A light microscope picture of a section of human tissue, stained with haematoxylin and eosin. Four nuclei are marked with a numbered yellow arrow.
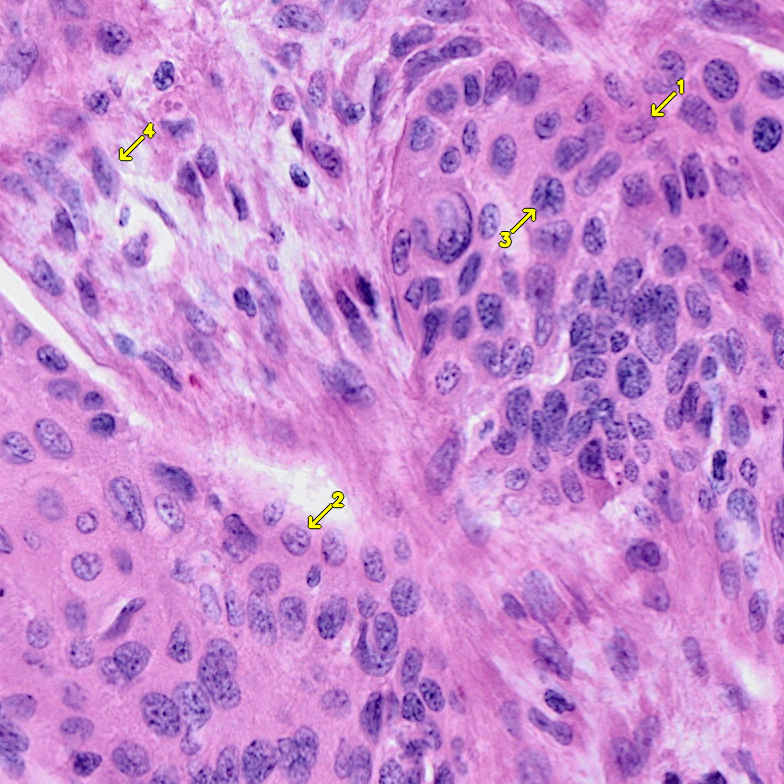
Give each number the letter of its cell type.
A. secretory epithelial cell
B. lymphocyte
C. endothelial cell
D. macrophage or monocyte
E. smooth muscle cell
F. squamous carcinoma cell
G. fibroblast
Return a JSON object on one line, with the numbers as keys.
{"1": "F", "2": "F", "3": "F", "4": "G"}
